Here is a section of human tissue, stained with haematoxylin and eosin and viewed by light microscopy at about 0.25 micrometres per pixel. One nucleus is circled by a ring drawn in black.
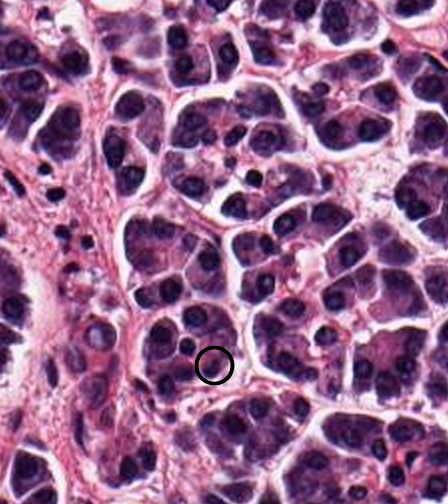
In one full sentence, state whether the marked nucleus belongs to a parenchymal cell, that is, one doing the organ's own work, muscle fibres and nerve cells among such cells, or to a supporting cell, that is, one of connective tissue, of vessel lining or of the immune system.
The marked nucleus is attributed to a parenchymal cell, namely a pancreatic acinar cell.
